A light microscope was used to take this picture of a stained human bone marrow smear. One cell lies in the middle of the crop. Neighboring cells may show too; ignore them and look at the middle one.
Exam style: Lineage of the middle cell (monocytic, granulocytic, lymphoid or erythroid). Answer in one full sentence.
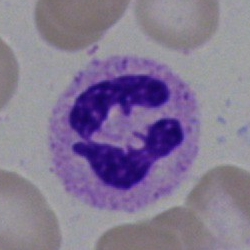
By lineage, the cell in the middle of the crop is granulocytic.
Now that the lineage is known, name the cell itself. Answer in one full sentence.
Present in the middle of the crop is a segmented neutrophil.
